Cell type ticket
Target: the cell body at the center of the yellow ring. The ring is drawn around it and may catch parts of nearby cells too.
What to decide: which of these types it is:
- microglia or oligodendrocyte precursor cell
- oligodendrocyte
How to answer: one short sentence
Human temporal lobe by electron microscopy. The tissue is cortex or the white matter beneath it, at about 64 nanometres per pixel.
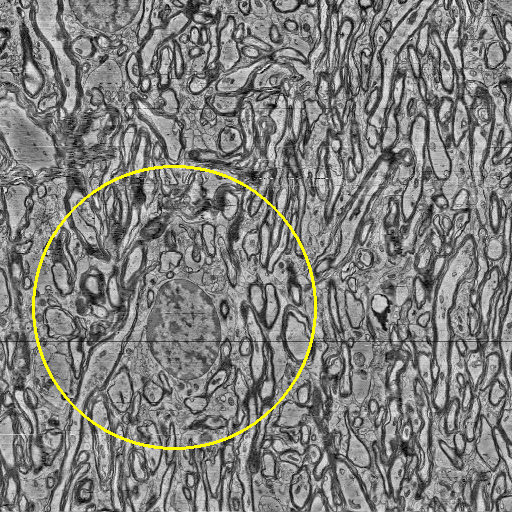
The cell at the center of the ring is a microglial cell or oligodendrocyte precursor cell.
